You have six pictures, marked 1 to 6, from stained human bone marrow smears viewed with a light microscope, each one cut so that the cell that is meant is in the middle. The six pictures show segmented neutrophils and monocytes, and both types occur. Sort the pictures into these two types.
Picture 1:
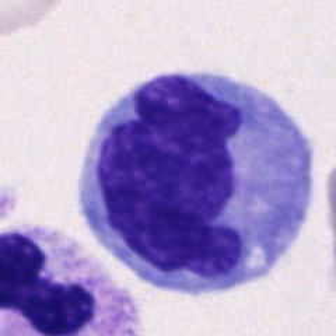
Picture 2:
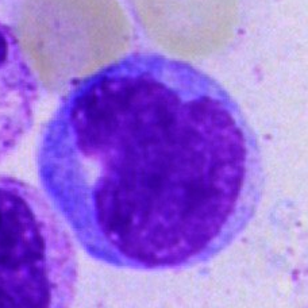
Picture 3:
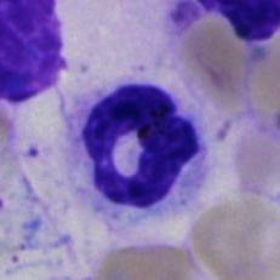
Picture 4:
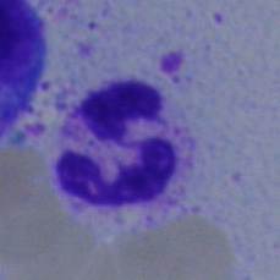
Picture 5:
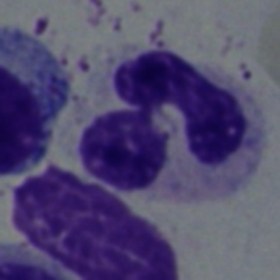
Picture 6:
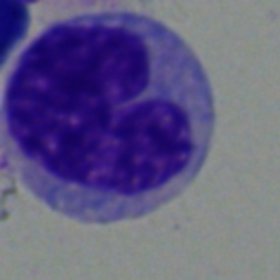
1: monocyte
2: monocyte
3: segmented neutrophil
4: segmented neutrophil
5: segmented neutrophil
6: monocyte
